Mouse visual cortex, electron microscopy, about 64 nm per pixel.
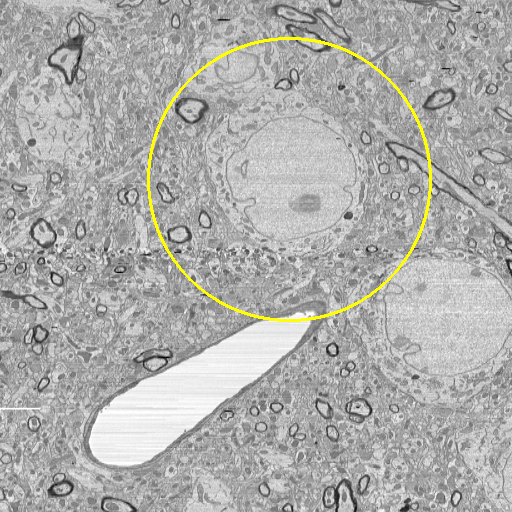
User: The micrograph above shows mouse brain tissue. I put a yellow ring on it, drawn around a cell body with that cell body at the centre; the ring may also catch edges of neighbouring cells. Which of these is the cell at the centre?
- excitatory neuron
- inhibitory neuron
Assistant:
excitatory neuron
